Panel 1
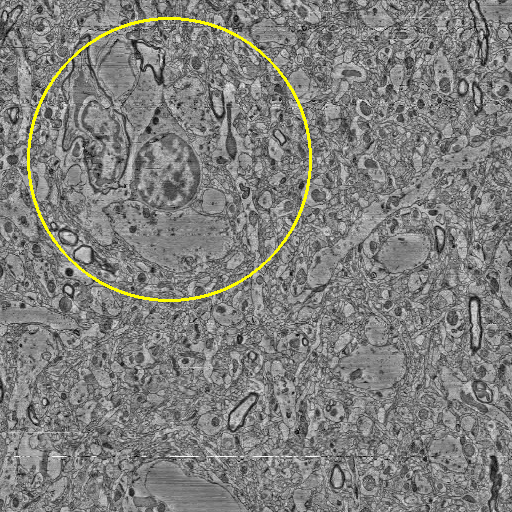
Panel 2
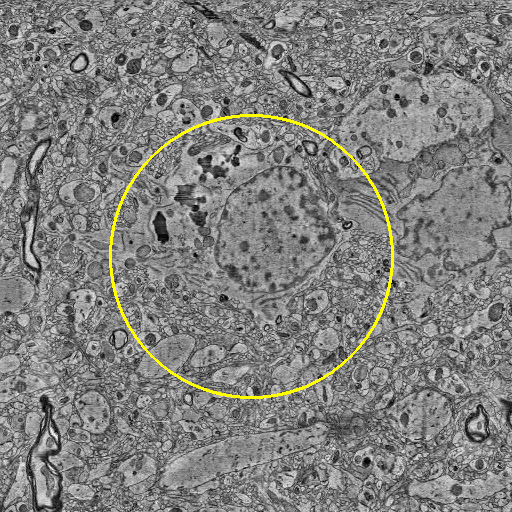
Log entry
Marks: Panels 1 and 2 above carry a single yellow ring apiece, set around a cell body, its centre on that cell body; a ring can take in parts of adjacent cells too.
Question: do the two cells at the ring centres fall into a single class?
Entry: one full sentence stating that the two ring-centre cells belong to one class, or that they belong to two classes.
The two ring-centre cells in Panels 1 and 2 belong to two classes.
